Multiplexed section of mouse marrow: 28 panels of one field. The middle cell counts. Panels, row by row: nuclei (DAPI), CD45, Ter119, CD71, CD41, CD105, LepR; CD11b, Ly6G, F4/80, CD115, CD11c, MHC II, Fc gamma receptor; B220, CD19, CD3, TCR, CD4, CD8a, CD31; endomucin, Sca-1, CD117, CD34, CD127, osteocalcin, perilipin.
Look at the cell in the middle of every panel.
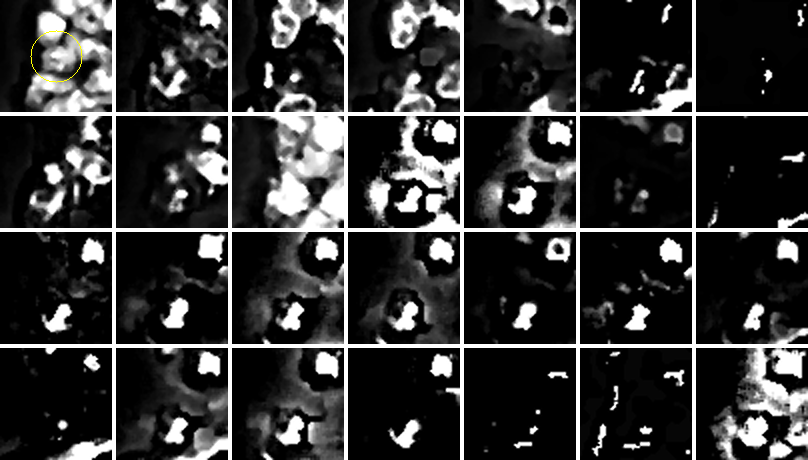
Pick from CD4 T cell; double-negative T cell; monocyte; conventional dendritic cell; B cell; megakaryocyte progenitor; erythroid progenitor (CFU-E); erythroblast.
erythroid progenitor (CFU-E)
